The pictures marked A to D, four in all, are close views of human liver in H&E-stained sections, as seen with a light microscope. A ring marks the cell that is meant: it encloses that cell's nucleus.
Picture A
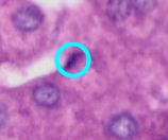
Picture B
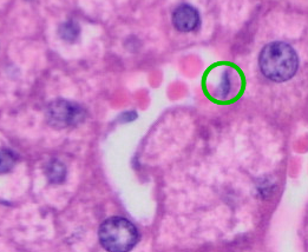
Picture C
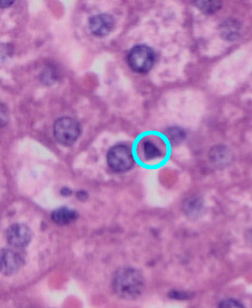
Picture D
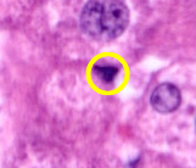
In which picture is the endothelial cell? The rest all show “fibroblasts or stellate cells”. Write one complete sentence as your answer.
It is picture B that shows the endothelial cell.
